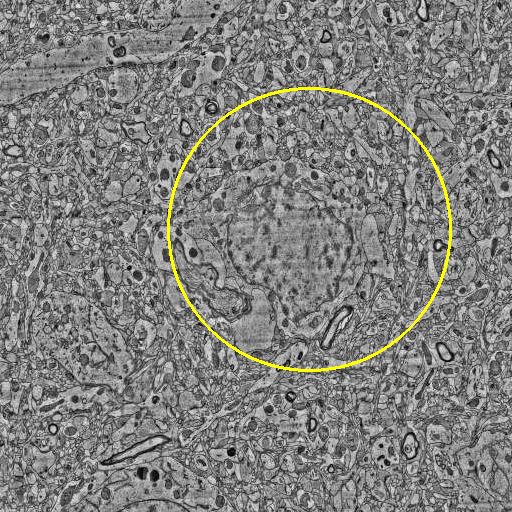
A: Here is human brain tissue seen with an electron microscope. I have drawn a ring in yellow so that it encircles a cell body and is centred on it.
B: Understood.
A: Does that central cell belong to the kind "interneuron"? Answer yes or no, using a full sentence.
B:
Yes, the central cell inside your yellow ring belongs to that kind.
